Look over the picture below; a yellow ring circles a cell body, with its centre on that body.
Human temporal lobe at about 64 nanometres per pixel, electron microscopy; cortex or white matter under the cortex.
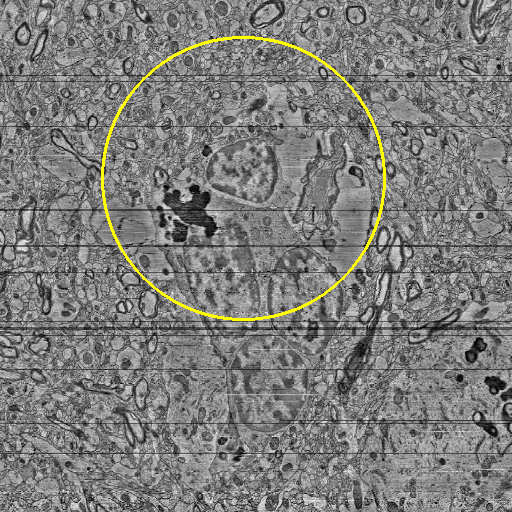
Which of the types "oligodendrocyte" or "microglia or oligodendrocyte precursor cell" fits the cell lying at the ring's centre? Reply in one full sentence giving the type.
The picture shows a microglial cell or oligodendrocyte precursor cell at the centre of the yellow ring.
